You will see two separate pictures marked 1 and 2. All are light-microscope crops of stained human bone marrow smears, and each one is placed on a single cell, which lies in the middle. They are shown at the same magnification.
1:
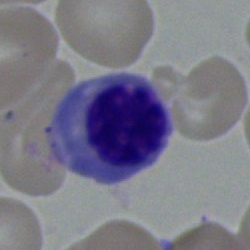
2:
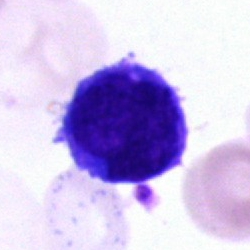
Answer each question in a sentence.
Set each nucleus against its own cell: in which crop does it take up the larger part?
In crop 2 the nucleus takes up the larger part of its cell.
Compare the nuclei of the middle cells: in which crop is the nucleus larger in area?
The nucleus in crop 2 is larger, with about 2.5 times the area of the one in crop 1.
